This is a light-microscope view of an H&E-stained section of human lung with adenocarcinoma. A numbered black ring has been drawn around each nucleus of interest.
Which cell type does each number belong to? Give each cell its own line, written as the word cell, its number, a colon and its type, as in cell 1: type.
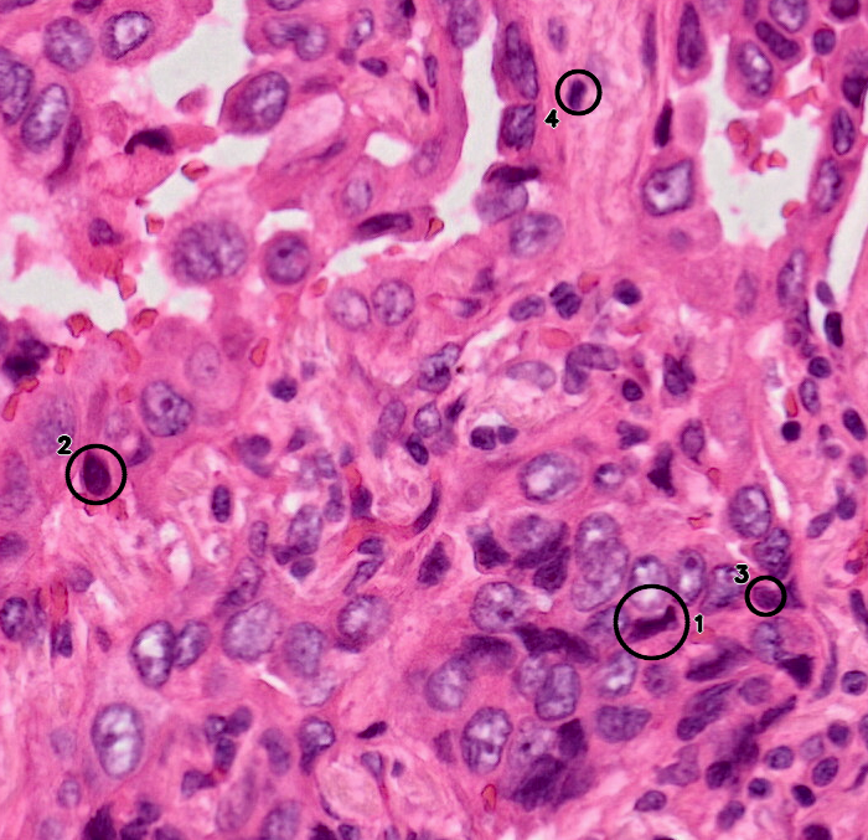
cell 1: carcinoma cell
cell 2: carcinoma cell
cell 3: carcinoma cell
cell 4: lymphocyte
